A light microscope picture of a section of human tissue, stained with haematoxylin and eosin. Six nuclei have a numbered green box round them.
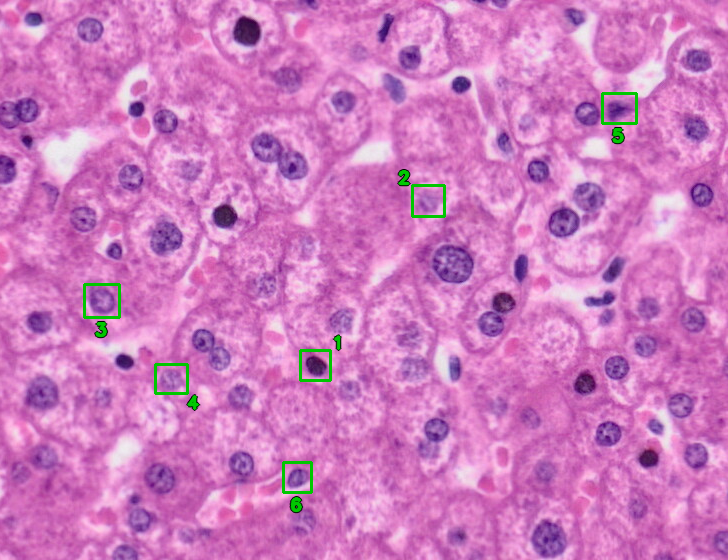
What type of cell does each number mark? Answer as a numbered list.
1. Kupffer cell
2. hepatocyte
3. hepatocyte
4. hepatocyte
5. fibroblast or stellate cell
6. Kupffer cell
